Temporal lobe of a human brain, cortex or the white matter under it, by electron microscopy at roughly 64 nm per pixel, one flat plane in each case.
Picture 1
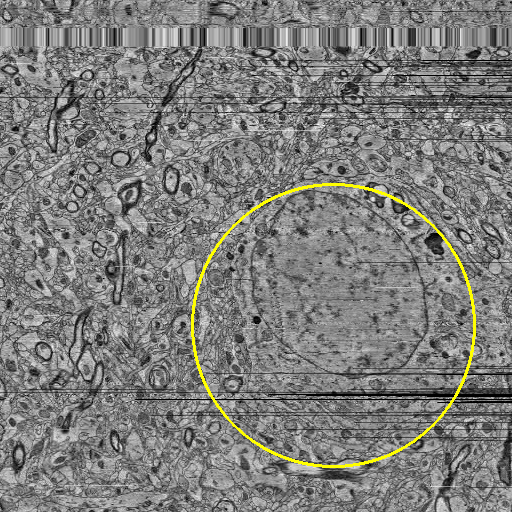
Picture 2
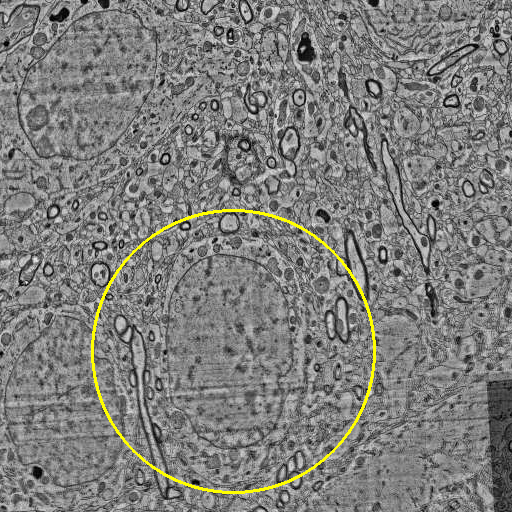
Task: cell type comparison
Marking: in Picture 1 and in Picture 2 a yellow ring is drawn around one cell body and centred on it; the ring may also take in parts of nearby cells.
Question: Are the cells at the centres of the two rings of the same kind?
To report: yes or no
yes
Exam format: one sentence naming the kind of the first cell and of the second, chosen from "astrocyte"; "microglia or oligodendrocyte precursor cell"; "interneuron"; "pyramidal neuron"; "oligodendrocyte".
The cell at the ring centre is a pyramidal neuron in both pictures.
